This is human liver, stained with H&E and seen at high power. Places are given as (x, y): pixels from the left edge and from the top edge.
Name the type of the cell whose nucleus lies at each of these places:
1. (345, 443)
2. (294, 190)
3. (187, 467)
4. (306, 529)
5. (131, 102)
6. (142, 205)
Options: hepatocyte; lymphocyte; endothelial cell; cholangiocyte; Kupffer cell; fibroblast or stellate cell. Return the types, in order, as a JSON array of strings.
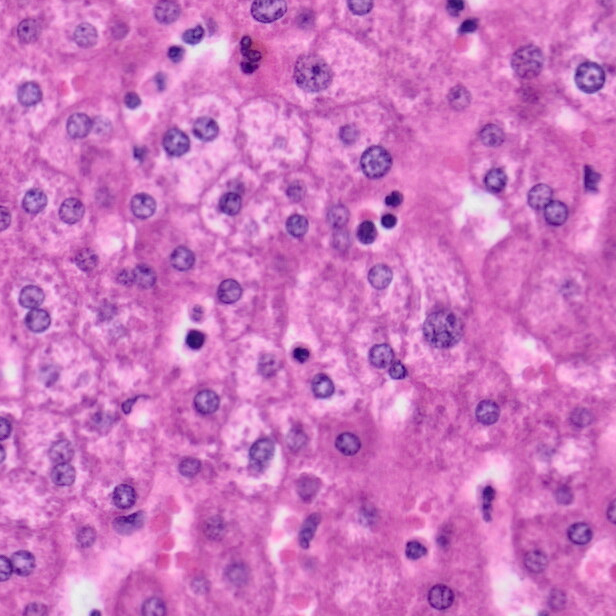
["hepatocyte", "hepatocyte", "hepatocyte", "Kupffer cell", "lymphocyte", "hepatocyte"]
